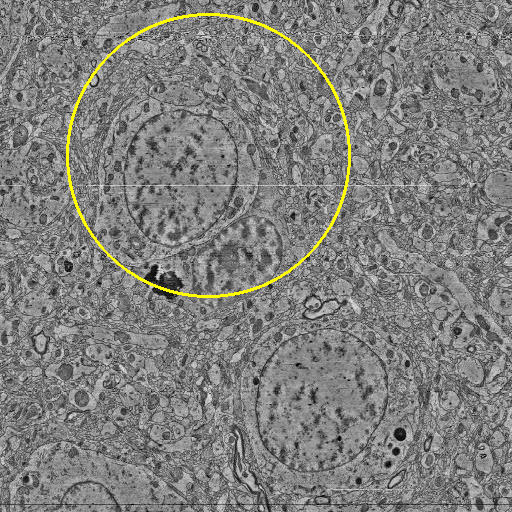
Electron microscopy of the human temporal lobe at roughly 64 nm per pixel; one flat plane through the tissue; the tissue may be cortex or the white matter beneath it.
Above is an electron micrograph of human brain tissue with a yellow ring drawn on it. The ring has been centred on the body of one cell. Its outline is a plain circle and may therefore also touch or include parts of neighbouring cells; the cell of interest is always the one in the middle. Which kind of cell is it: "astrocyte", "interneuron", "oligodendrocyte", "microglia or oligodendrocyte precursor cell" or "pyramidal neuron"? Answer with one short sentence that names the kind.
The ring's central cell body is that of a pyramidal neuron.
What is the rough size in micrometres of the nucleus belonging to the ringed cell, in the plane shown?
In this plane, the nucleus is roughly 9 by 7 micrometres.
